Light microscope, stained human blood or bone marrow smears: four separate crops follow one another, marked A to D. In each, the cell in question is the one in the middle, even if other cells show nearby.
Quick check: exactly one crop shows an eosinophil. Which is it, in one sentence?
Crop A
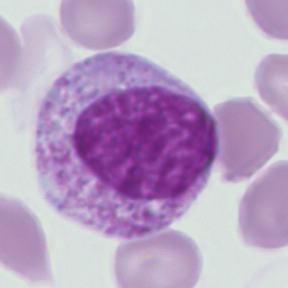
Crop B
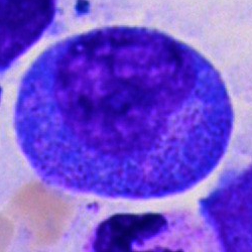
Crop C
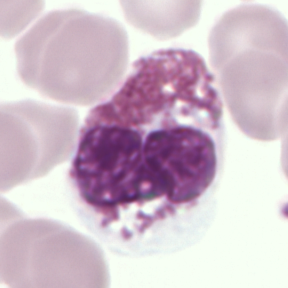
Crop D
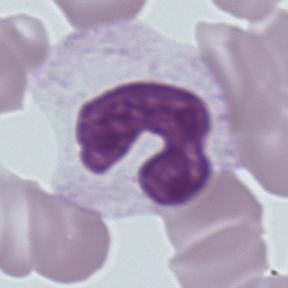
When the crops are compared, crop C is the one showing an eosinophil.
